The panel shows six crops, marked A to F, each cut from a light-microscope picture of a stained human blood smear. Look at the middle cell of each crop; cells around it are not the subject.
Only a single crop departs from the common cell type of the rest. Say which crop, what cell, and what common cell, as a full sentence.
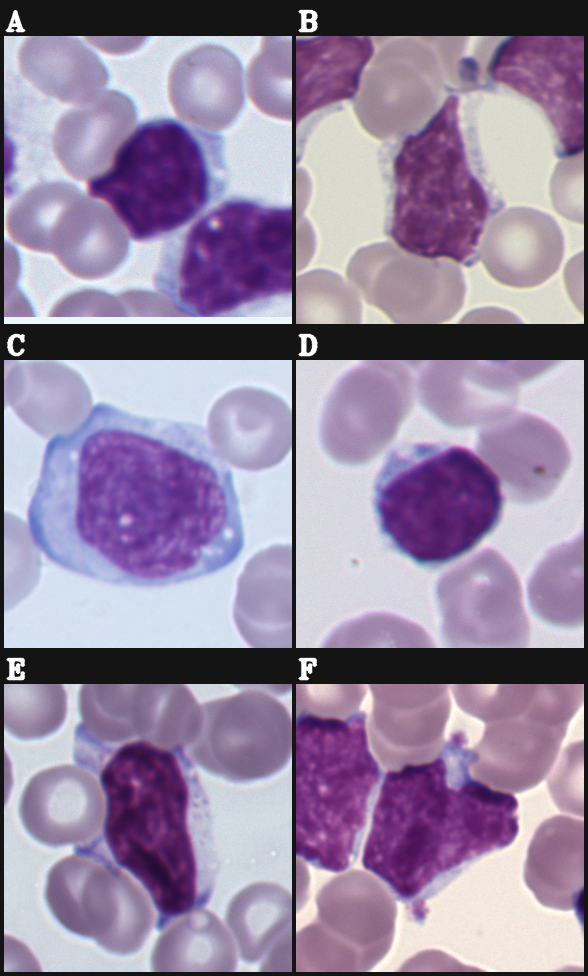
Shown in crop C is a myeloblast, in contrast to the typical lymphocytes of all the other crops.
